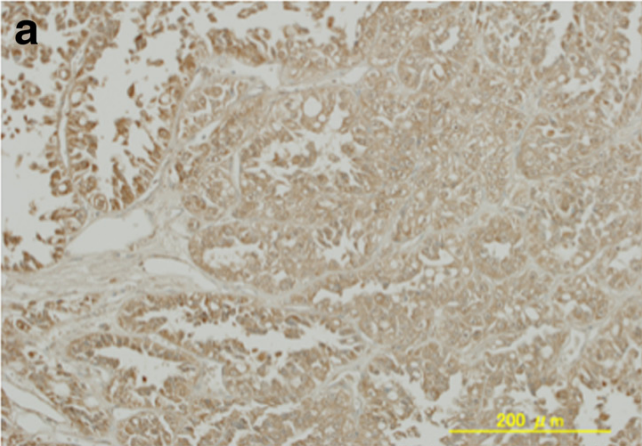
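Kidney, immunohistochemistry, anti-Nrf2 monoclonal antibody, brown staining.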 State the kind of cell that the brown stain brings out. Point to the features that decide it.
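Crowded epithelial cells form papillary and tubular structures. Nearly all epithelial cells are diffusely brown. Thin pale stromal septa separate the cell groups. The answer: cancer cells.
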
